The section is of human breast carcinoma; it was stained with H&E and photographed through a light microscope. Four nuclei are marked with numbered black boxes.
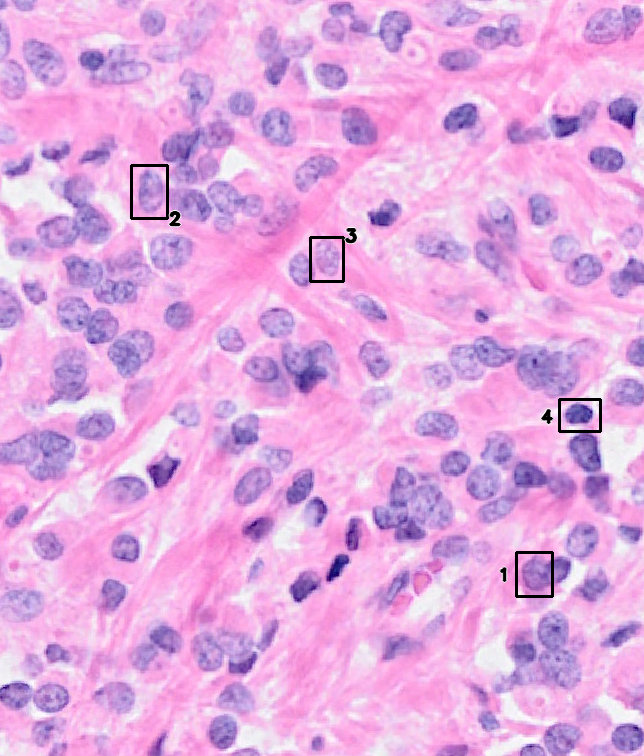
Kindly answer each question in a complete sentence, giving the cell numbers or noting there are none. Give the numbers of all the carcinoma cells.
The cells with numbers 1, 2 and 3 are carcinoma cells by type.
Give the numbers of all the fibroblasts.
The numbered cells are entirely free of fibroblasts.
